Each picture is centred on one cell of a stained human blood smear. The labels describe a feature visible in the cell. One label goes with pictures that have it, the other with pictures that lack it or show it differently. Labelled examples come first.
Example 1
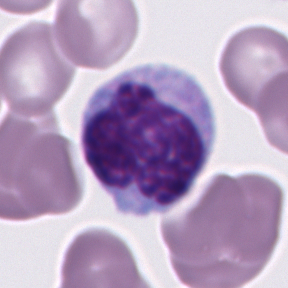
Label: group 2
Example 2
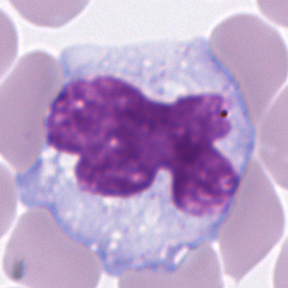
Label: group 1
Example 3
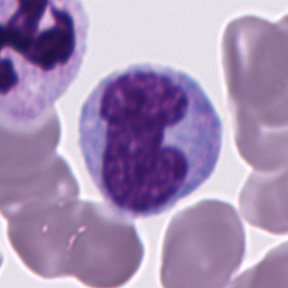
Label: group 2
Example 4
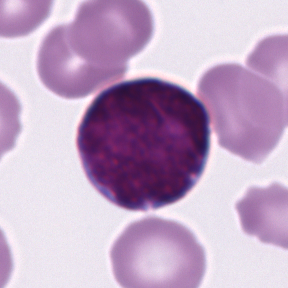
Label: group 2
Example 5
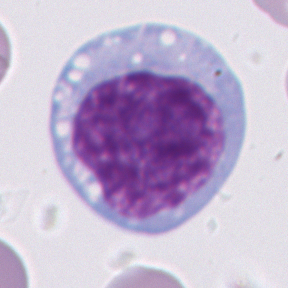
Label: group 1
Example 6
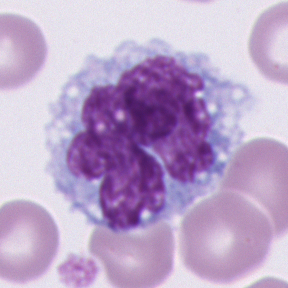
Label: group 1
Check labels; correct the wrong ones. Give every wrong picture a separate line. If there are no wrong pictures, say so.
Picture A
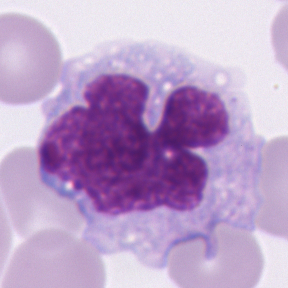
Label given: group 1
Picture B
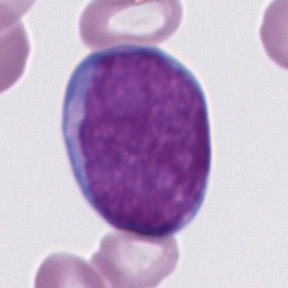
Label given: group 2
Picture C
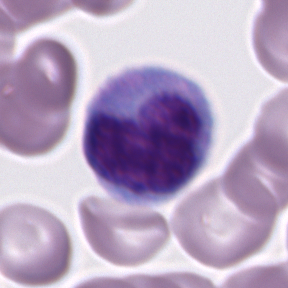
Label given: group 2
Nothing to fix; every label fits.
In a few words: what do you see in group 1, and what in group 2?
Seen in group 1: vacuoles present; seen in group 2: no vacuoles.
